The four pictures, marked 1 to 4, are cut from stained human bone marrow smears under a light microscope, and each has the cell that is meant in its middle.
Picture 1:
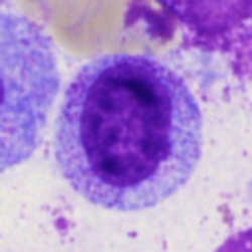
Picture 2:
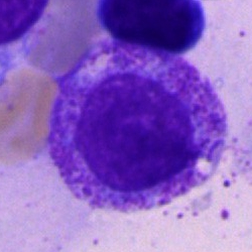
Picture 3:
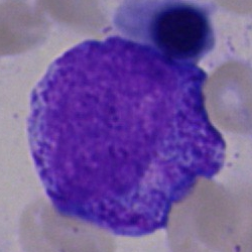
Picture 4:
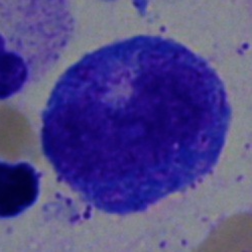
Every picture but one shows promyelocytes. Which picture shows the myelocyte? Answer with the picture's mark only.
1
